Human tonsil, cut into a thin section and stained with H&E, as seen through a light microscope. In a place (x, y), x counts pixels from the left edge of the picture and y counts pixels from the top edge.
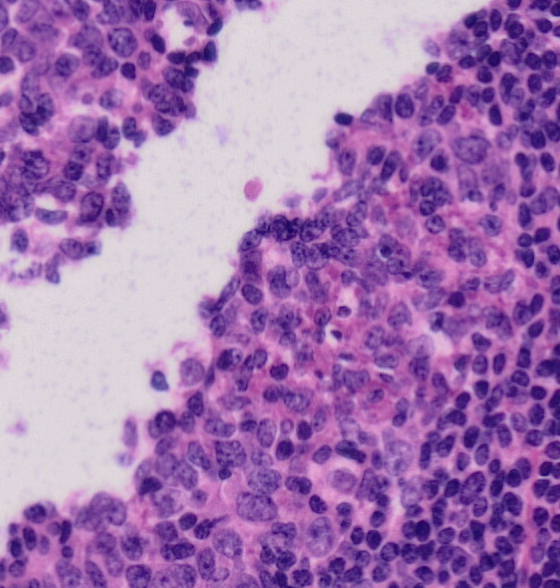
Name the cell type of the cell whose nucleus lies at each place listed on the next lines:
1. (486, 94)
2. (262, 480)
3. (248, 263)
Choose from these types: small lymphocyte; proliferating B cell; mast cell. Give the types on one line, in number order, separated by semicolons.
small lymphocyte; proliferating B cell; proliferating B cell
